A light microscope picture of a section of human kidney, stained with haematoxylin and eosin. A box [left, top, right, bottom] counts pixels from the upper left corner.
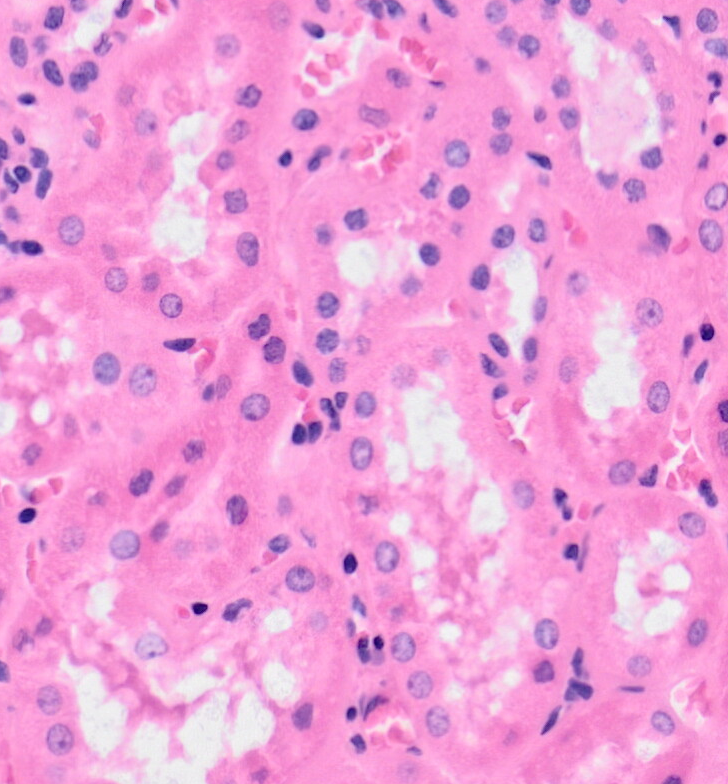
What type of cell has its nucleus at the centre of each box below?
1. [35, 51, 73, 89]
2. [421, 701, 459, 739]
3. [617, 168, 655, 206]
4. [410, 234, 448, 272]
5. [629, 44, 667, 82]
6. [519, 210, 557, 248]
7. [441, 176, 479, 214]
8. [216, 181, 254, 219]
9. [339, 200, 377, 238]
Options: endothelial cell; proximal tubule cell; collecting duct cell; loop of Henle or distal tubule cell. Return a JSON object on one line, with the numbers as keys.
{"1": "collecting duct cell", "2": "proximal tubule cell", "3": "loop of Henle or distal tubule cell", "4": "loop of Henle or distal tubule cell", "5": "loop of Henle or distal tubule cell", "6": "collecting duct cell", "7": "loop of Henle or distal tubule cell", "8": "proximal tubule cell", "9": "loop of Henle or distal tubule cell"}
